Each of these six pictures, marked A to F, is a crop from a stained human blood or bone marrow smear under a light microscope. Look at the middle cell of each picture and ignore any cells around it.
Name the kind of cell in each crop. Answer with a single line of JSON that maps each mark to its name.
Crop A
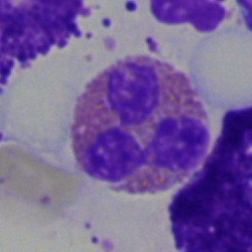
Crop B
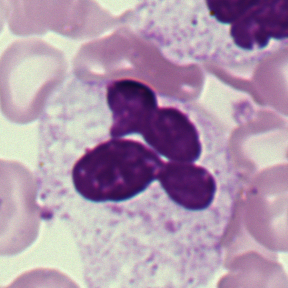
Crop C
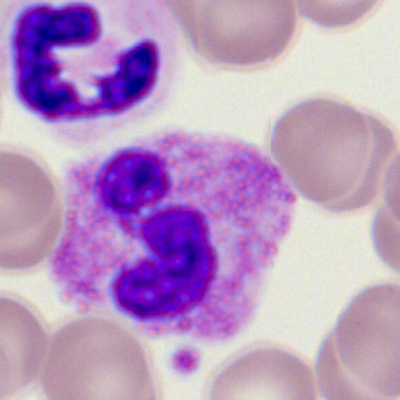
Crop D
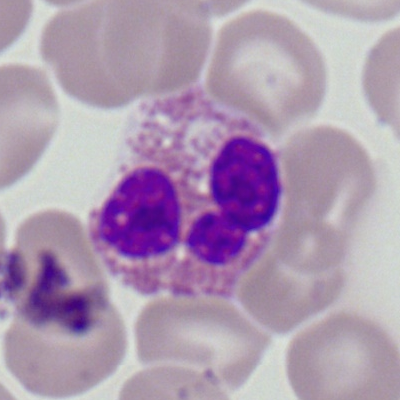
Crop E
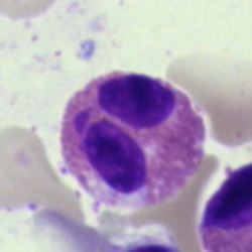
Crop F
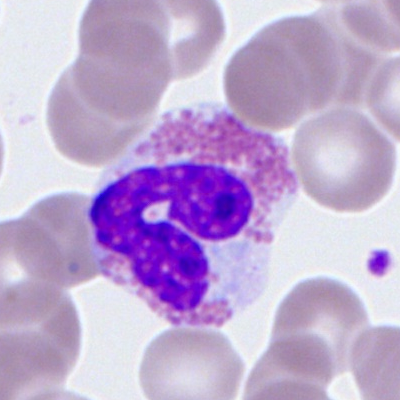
{"A": "eosinophil", "B": "segmented neutrophil", "C": "segmented neutrophil", "D": "eosinophil", "E": "eosinophil", "F": "eosinophil"}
